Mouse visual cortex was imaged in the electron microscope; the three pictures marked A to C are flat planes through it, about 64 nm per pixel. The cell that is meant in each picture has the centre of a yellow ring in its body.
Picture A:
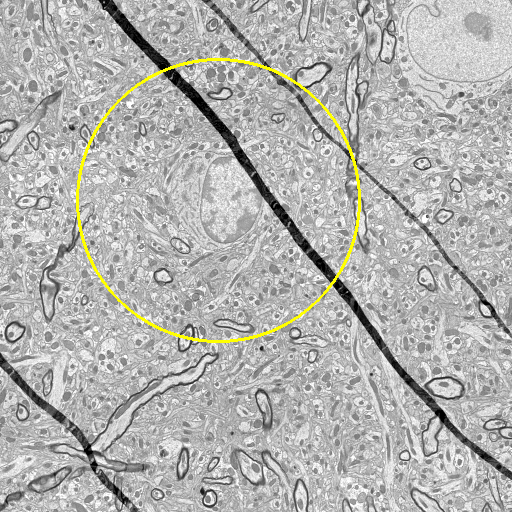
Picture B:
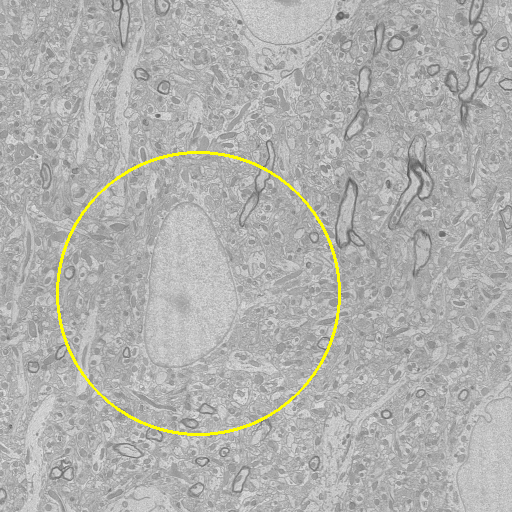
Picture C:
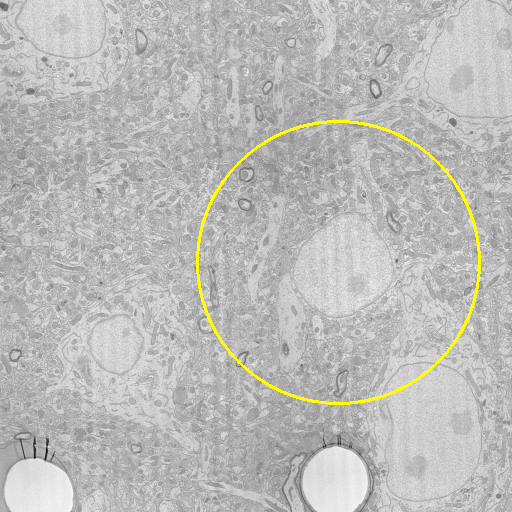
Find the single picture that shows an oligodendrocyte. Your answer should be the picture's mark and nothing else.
A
